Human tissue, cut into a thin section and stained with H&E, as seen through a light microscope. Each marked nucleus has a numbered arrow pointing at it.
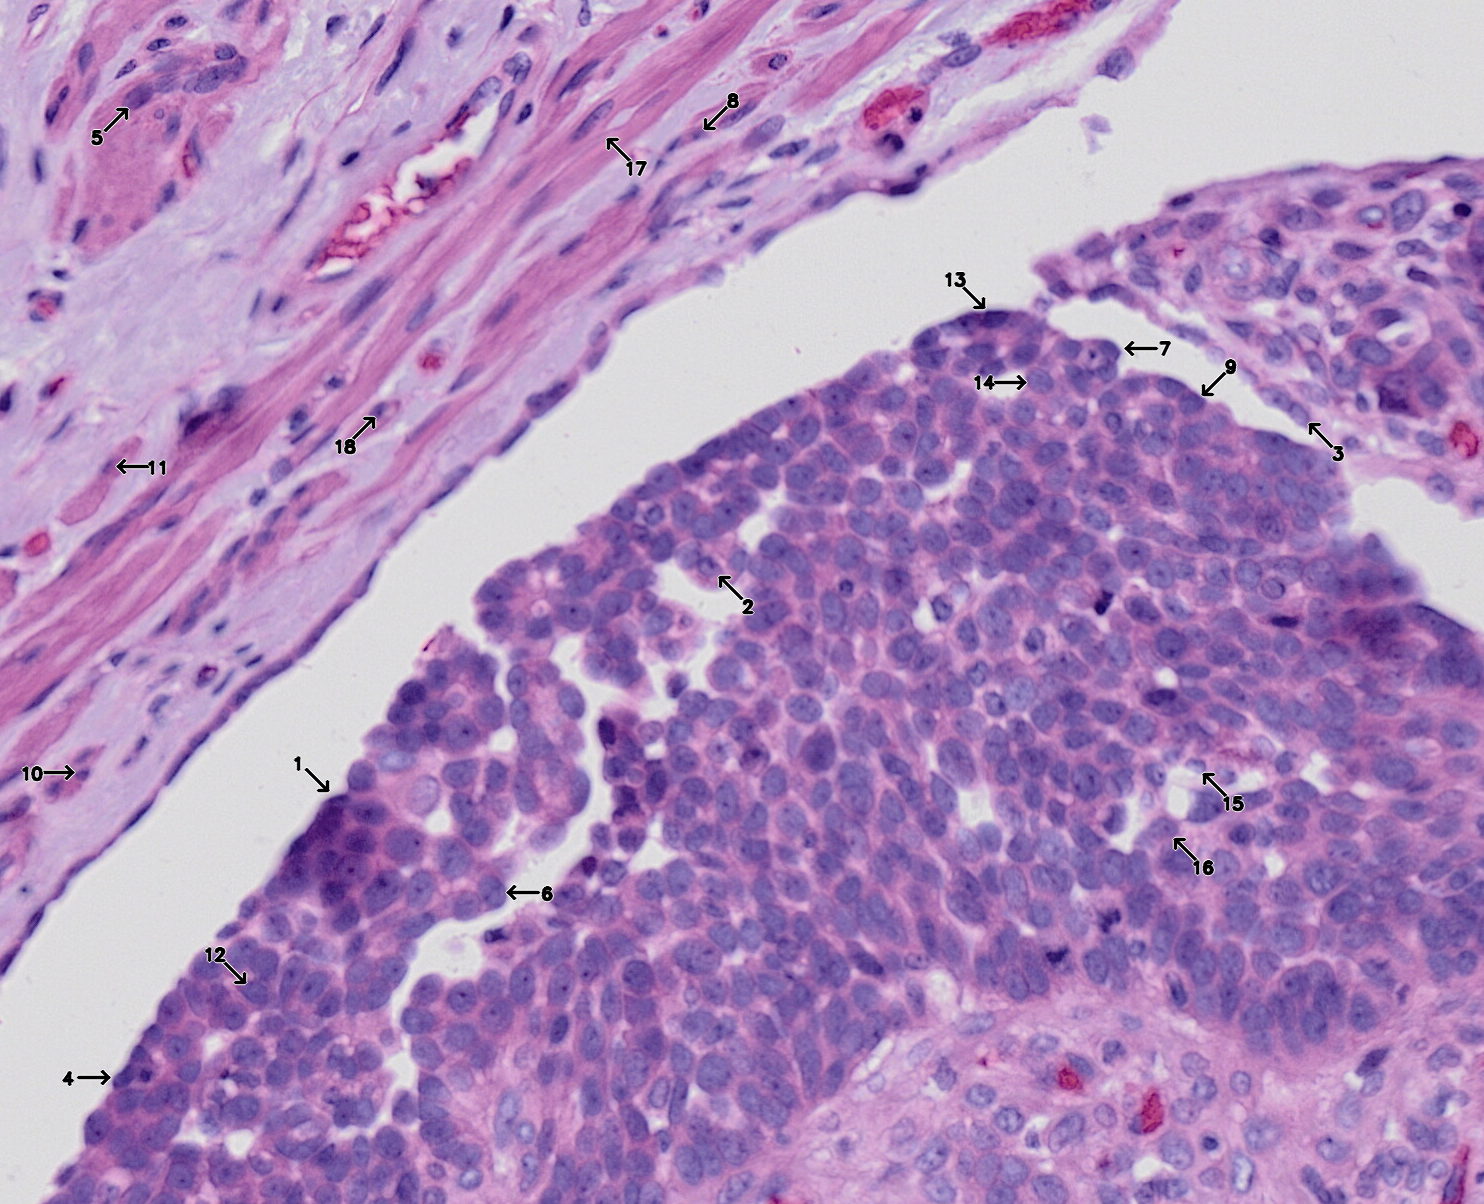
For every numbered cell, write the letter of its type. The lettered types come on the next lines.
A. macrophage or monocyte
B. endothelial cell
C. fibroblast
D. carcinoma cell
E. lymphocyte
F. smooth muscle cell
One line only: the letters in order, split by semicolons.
D; A; D; D; F; D; D; F; D; F; F; D; D; D; A; D; F; F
